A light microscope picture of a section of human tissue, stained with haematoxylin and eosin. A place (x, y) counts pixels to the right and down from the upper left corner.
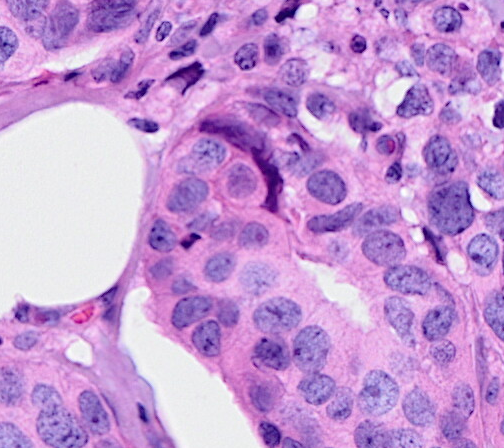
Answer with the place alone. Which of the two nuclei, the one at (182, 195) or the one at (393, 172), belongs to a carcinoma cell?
(182, 195)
